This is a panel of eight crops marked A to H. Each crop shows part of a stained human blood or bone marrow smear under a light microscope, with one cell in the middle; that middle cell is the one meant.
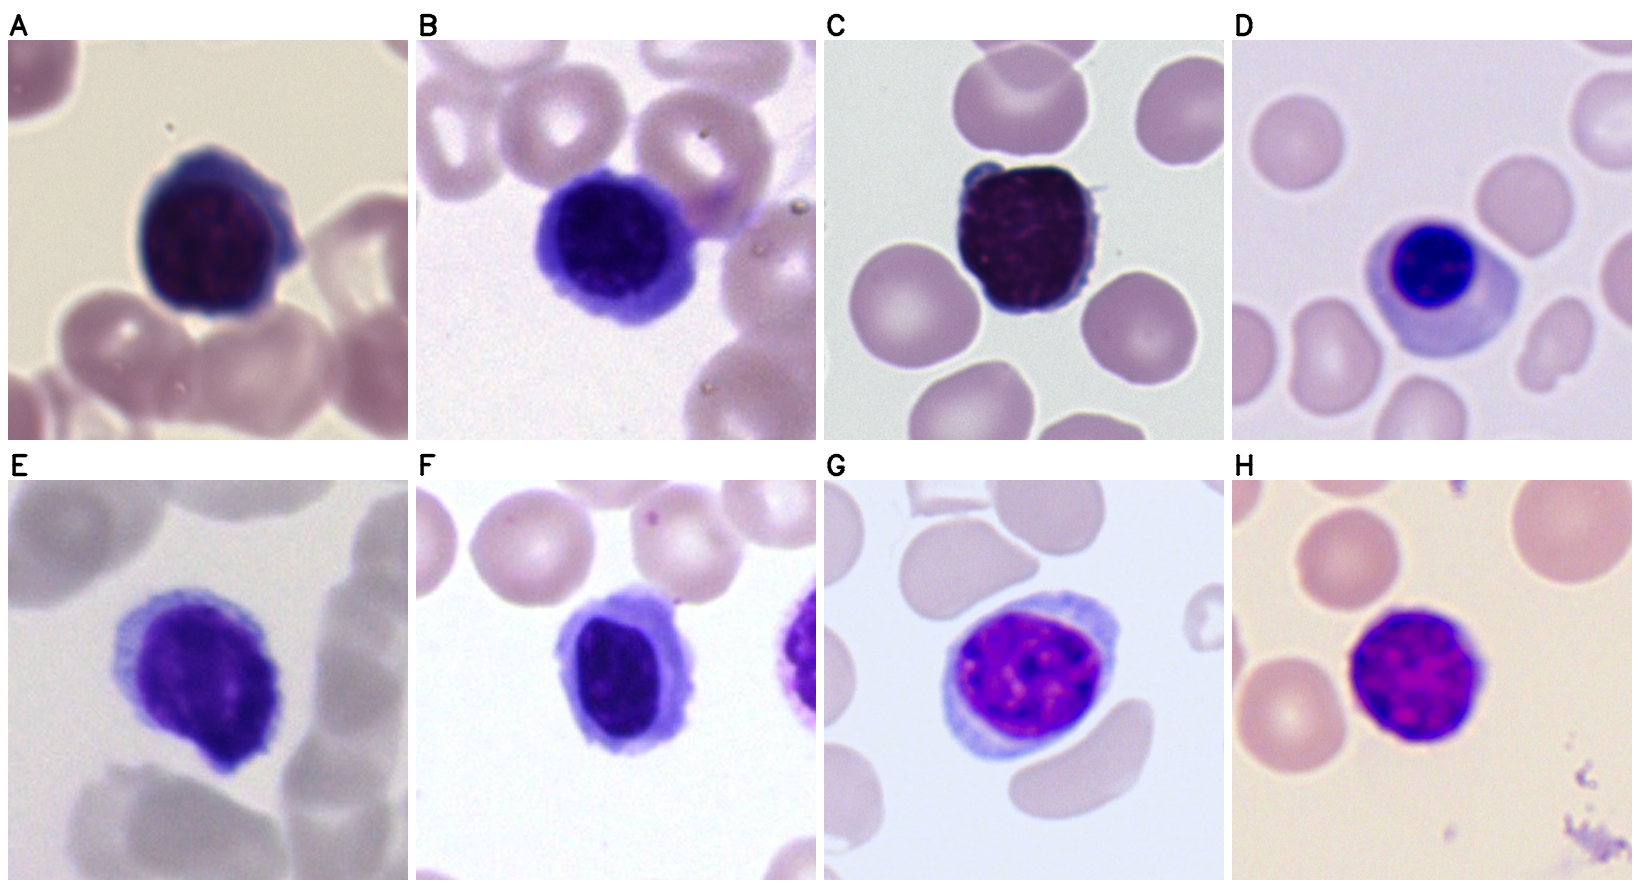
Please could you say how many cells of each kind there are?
erythroblast: 4
lymphocyte: 4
